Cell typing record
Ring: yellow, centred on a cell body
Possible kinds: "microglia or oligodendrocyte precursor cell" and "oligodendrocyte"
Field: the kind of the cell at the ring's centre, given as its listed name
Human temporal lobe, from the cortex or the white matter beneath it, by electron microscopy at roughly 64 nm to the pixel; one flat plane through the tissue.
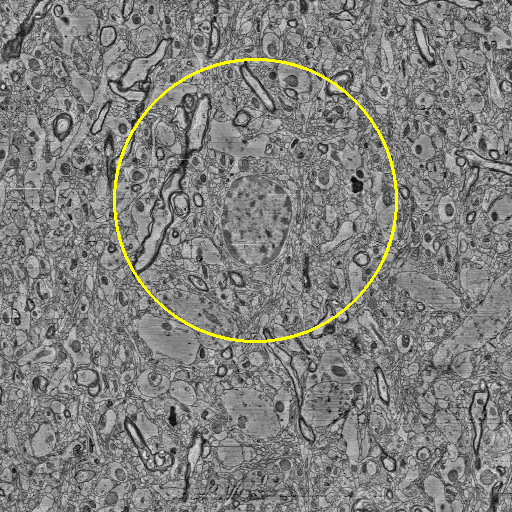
microglia or oligodendrocyte precursor cell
